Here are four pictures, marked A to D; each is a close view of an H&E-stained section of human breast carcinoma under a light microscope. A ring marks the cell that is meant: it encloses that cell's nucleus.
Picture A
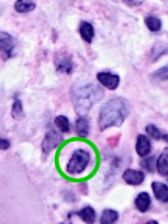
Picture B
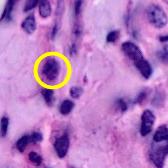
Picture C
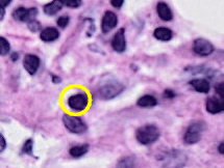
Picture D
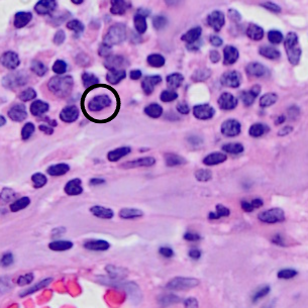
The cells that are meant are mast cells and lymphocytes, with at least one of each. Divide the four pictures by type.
A: lymphocyte
B: mast cell
C: lymphocyte
D: lymphocyte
